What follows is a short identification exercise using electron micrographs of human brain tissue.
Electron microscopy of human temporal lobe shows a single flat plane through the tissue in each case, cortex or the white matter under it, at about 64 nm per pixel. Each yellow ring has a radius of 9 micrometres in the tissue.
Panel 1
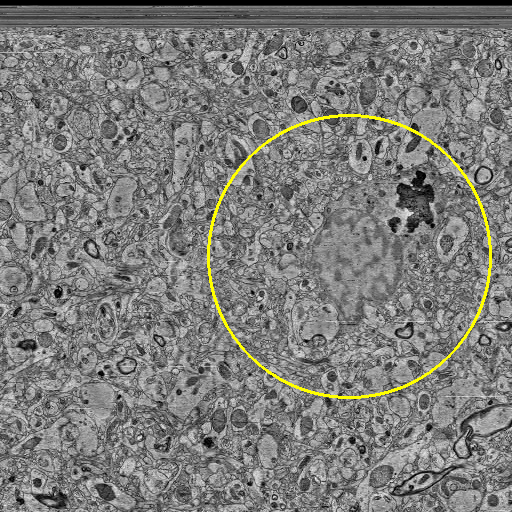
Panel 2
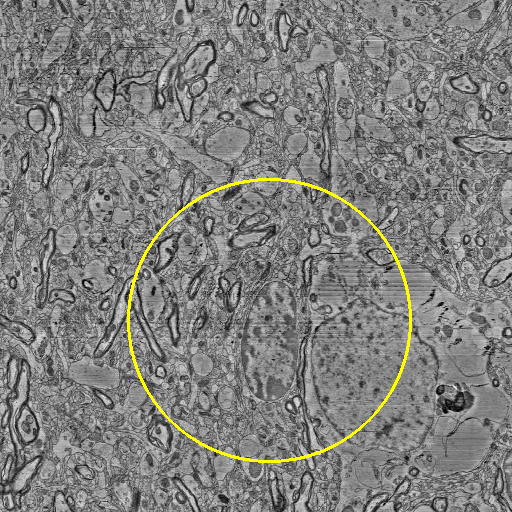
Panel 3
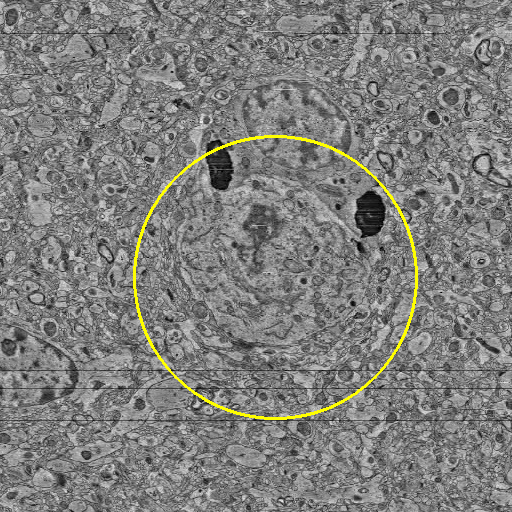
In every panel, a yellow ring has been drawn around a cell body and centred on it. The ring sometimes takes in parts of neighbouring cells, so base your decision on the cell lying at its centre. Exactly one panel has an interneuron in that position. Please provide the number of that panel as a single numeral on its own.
3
